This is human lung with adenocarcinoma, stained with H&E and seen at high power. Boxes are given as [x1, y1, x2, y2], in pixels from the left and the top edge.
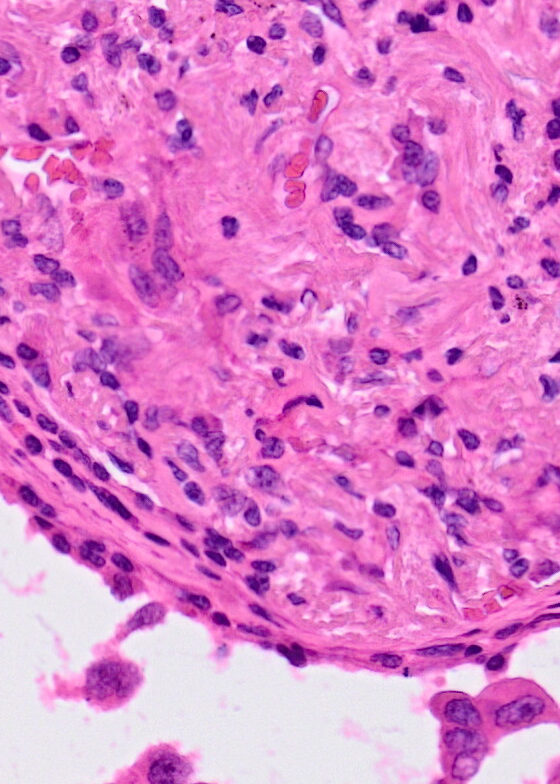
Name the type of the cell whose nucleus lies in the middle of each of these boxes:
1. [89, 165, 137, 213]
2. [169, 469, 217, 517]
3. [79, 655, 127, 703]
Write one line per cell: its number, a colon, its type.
1: lymphocyte
2: lymphocyte
3: carcinoma cell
